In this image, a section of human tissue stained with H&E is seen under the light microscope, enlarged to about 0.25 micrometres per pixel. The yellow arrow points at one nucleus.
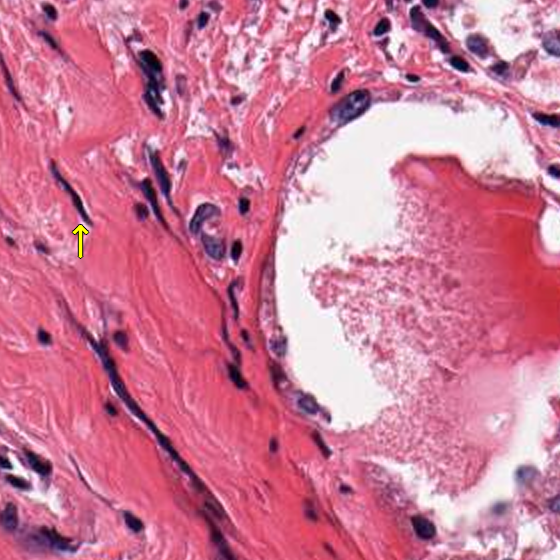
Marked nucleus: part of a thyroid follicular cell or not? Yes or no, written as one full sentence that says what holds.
No, the marked nucleus is contained in a supporting cell and not in a thyroid follicular cell.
